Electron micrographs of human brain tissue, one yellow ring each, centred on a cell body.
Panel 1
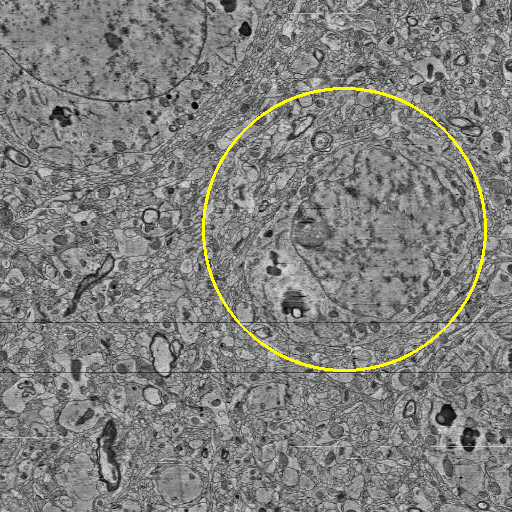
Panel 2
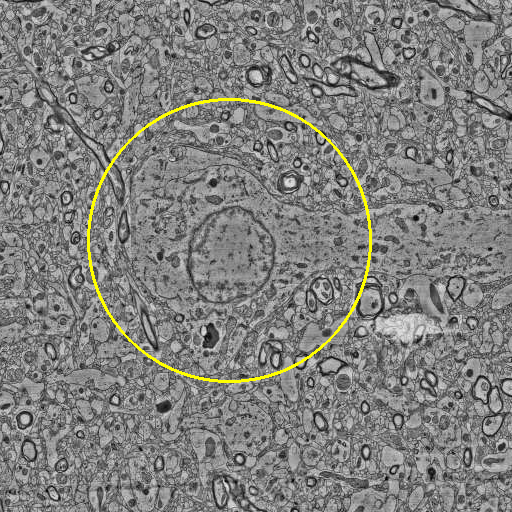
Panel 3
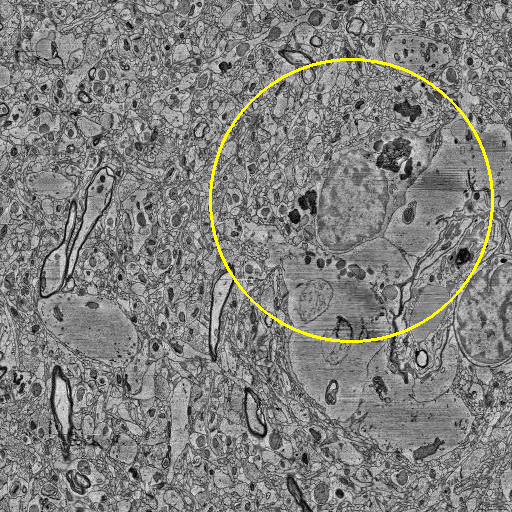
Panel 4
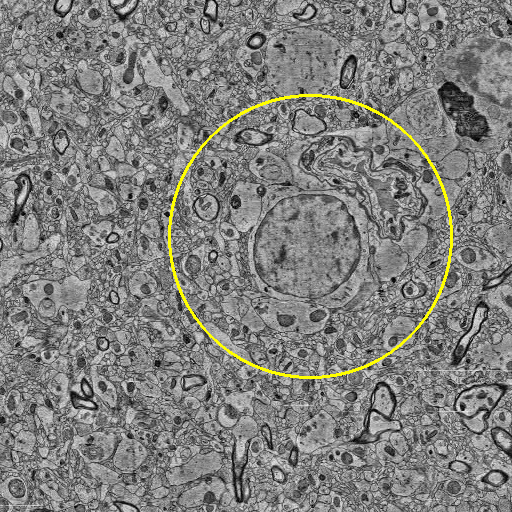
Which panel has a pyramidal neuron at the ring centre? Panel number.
2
